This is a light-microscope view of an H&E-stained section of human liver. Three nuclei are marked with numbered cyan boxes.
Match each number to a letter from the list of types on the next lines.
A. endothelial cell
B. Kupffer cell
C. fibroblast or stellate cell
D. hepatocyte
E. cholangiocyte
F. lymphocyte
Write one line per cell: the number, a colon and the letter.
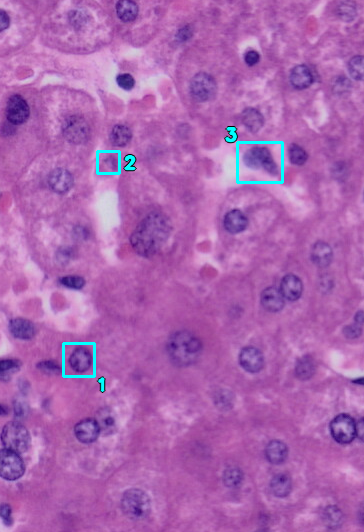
1: D
2: B
3: A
